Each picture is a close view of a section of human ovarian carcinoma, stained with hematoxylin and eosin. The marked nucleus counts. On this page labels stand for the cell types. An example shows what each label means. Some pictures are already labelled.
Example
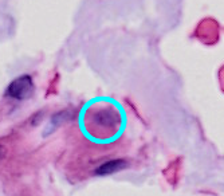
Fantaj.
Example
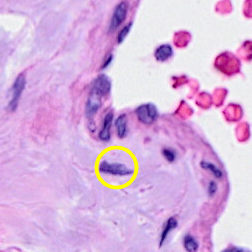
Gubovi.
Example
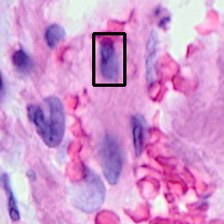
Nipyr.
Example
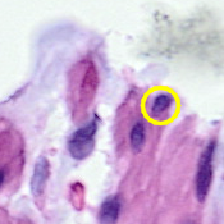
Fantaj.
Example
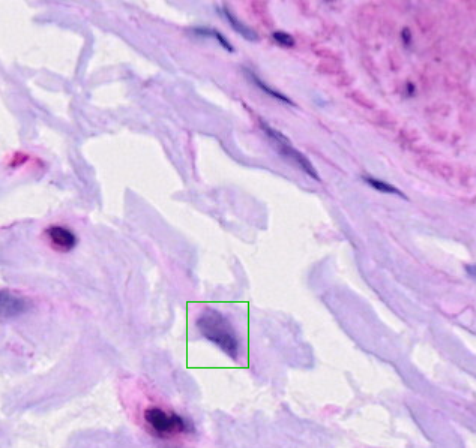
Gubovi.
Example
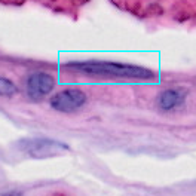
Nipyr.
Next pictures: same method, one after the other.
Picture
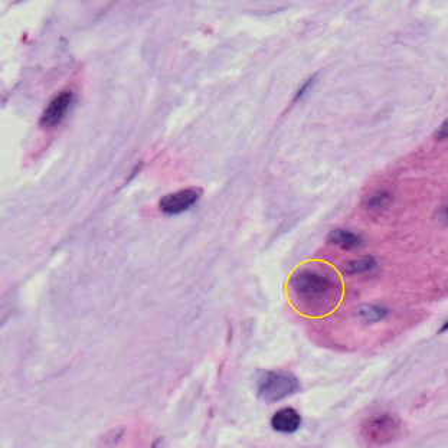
Fantaj.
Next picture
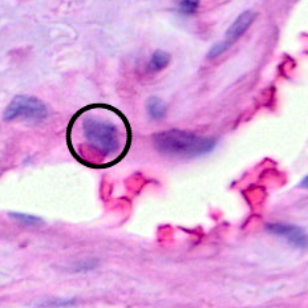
Nipyr.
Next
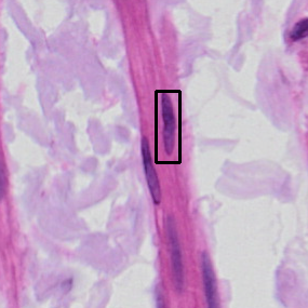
Fantaj.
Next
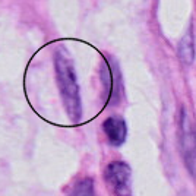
Gubovi.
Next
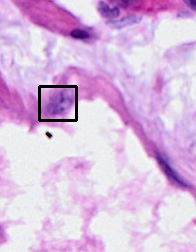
Nipyr.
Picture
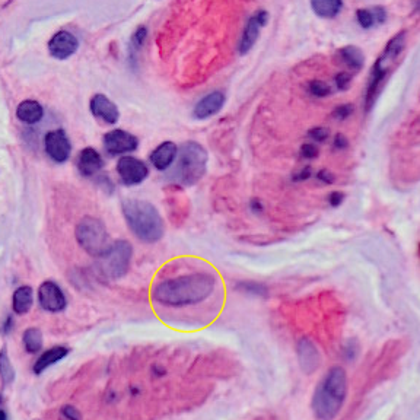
Nipyr.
